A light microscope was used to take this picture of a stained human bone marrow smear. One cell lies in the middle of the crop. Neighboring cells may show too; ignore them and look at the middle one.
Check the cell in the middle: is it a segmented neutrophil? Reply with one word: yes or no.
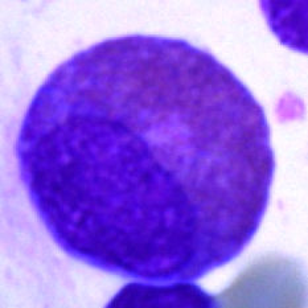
no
